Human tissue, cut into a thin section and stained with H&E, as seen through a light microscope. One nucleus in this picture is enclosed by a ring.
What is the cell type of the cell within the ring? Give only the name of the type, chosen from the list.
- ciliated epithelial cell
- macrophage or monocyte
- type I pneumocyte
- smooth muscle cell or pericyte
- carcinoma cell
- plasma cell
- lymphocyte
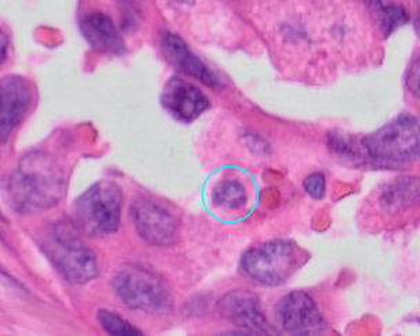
macrophage or monocyte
